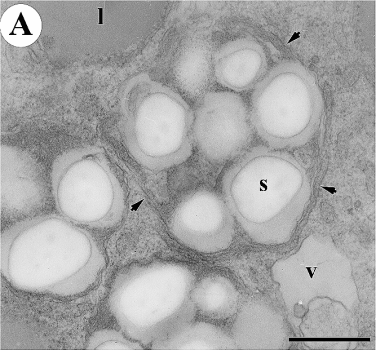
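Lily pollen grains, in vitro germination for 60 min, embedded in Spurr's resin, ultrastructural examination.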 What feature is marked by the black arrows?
double membrane structure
